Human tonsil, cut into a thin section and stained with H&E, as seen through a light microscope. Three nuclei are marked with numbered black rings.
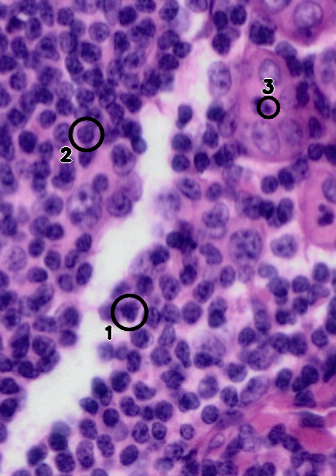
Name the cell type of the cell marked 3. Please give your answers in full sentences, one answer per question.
The one numbered 3 among the marked cells is an endothelial cell.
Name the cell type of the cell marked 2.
The cell that carries the label 2 is a small lymphocyte.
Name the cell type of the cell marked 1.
Heads up, the cell numbered 1 is a small lymphocyte.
